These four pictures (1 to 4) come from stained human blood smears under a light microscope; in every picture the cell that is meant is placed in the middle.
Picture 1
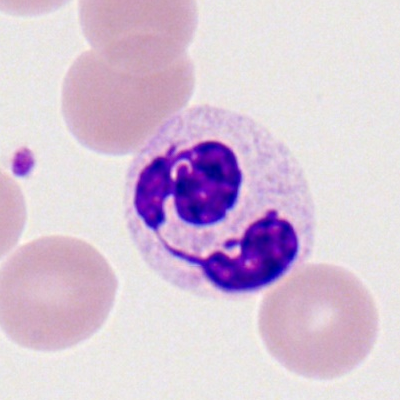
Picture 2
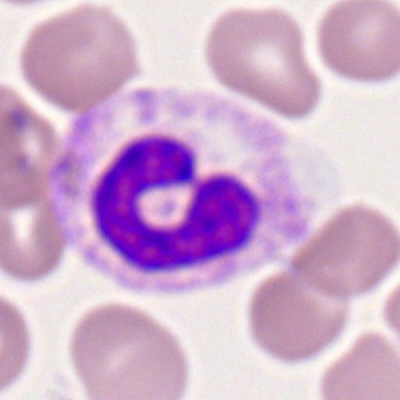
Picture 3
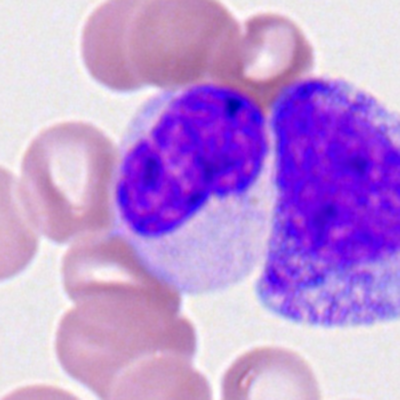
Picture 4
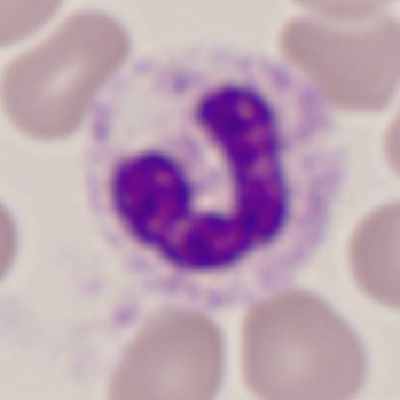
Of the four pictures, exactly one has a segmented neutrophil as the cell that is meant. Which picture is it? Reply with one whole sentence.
The cell in picture 1 is the segmented neutrophil.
